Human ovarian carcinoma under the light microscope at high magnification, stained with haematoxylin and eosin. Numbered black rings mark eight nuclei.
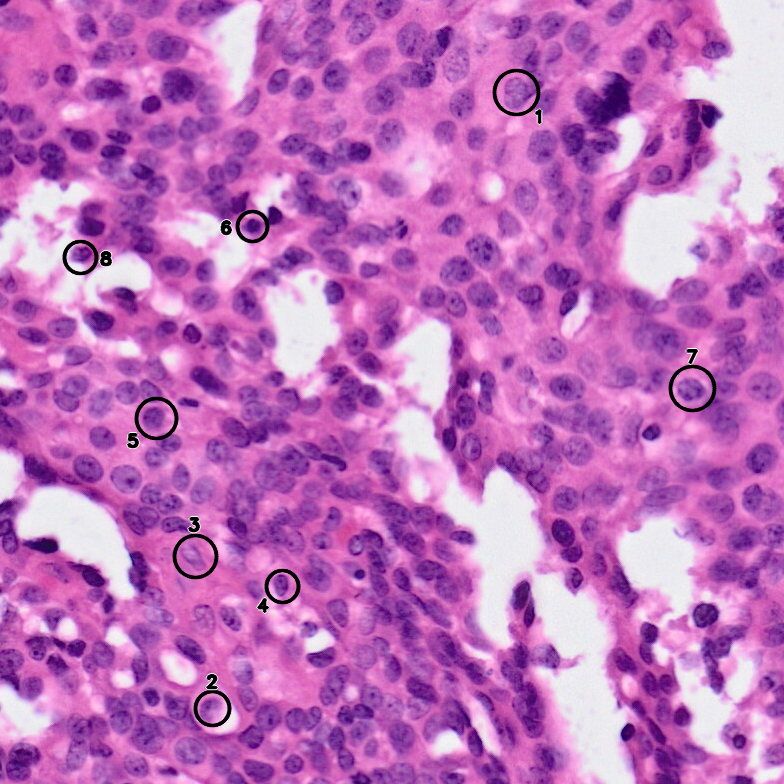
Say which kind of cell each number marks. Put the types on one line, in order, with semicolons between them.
carcinoma cell; macrophage or monocyte; endothelial cell; macrophage or monocyte; carcinoma cell; macrophage or monocyte; macrophage or monocyte; carcinoma cell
